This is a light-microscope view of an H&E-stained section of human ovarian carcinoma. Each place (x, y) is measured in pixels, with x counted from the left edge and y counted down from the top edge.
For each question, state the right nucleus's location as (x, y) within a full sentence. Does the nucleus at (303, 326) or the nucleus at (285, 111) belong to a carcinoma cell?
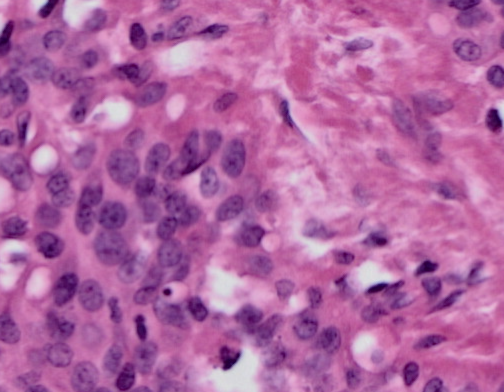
The one nucleus of the two that belongs to a carcinoma cell is at (303, 326).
